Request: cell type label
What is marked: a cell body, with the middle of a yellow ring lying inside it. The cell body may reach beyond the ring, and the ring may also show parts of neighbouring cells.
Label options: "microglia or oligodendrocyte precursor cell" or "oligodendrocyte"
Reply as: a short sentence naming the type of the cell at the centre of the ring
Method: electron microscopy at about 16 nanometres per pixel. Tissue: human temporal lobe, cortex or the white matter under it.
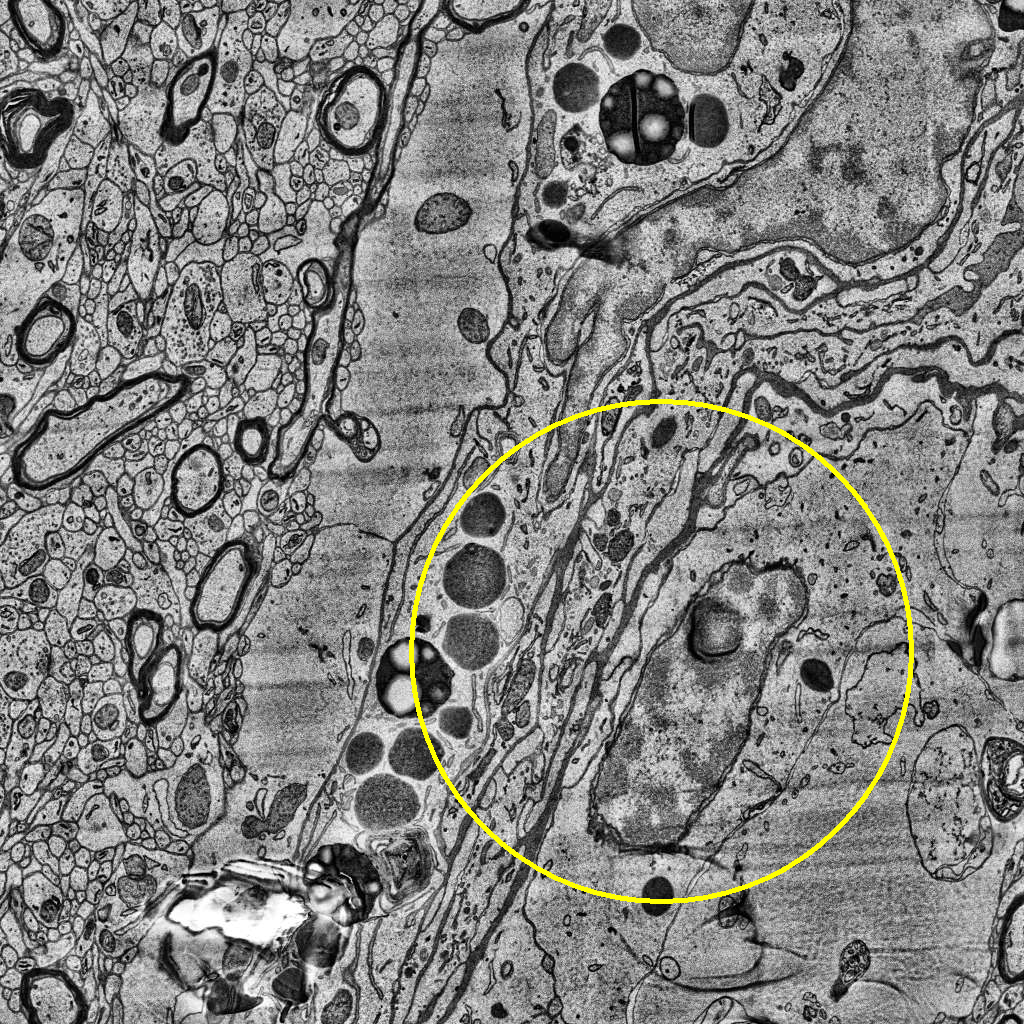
The marked cell body is that of a microglial cell or oligodendrocyte precursor cell.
